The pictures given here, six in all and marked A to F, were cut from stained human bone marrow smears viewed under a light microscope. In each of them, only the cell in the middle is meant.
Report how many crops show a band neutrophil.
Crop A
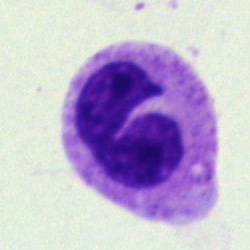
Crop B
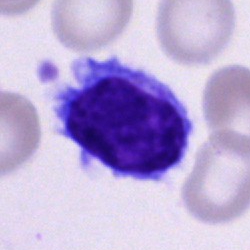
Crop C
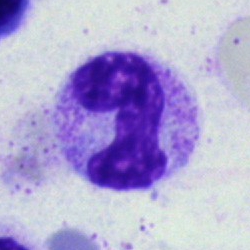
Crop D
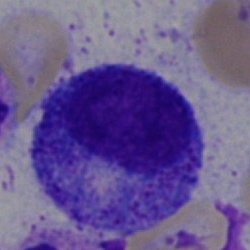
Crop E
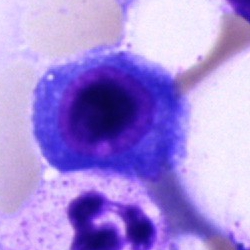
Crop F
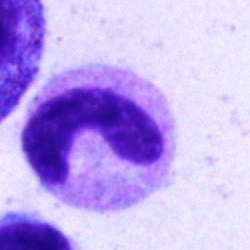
2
